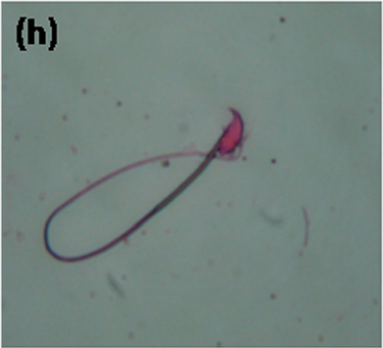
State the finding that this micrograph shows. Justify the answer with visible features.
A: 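The tail curves round into a large loop that returns toward the head.
Conclusion: tail abnormalities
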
